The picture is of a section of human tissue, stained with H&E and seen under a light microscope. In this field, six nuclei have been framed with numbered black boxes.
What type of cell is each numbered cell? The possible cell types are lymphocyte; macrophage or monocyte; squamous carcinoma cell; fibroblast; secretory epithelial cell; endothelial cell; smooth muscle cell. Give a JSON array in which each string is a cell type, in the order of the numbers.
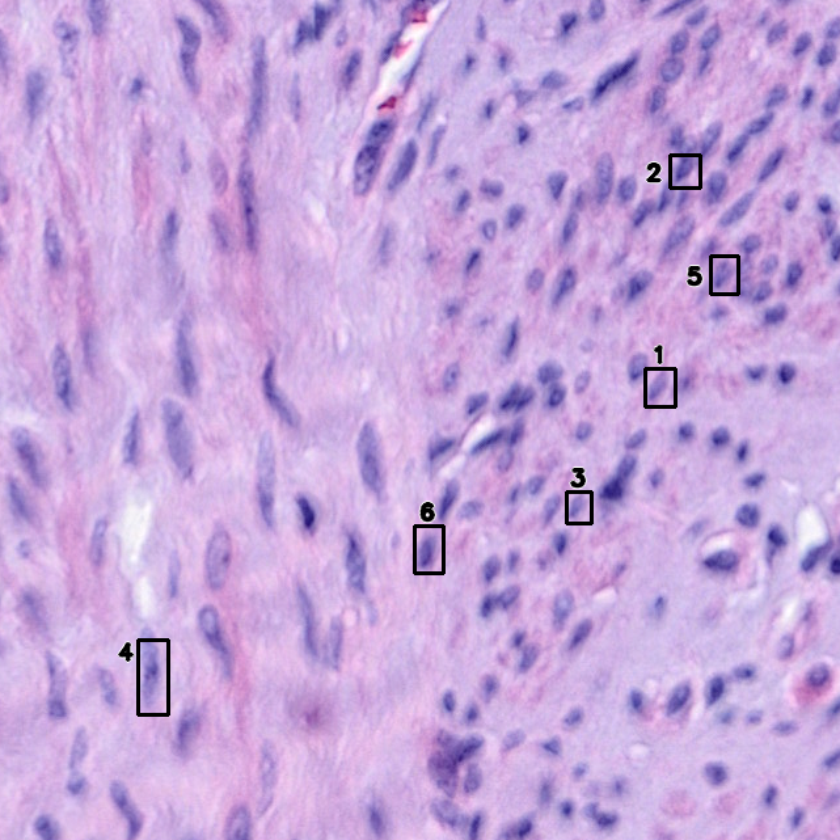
["smooth muscle cell", "smooth muscle cell", "smooth muscle cell", "fibroblast", "smooth muscle cell", "fibroblast"]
